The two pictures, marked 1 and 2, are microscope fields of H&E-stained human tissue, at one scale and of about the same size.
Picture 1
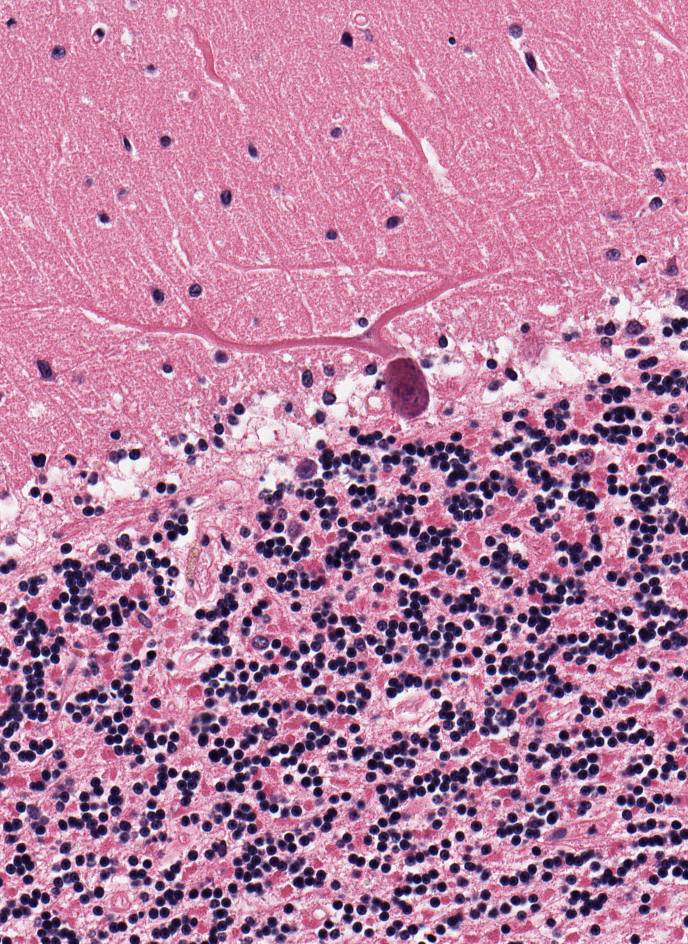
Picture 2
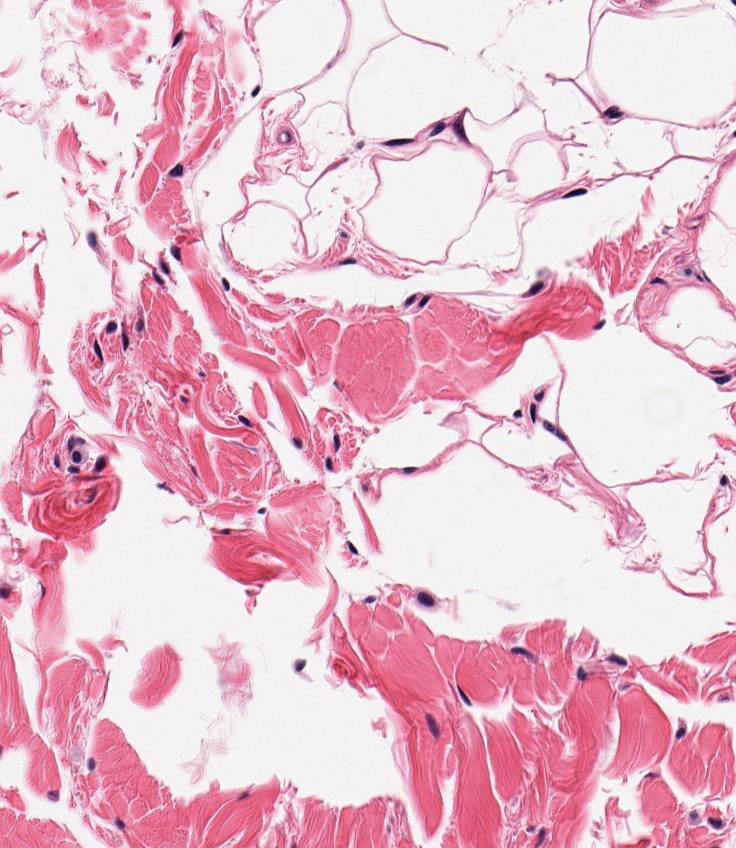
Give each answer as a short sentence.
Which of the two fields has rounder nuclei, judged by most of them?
The nuclei are rounder in picture 1.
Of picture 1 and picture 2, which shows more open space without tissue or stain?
Unstained space takes up more of picture 2 than of picture 1.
